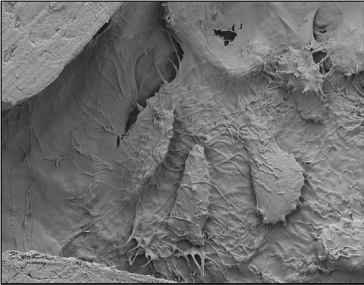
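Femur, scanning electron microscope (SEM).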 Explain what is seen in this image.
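Surface view of bone with several spindle- to tear-shaped osteocyte bodies lying in shallow recesses of the matrix. Numerous thin, branching processes leave each cell body and spread across the surrounding matrix surface.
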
